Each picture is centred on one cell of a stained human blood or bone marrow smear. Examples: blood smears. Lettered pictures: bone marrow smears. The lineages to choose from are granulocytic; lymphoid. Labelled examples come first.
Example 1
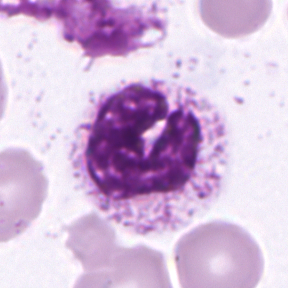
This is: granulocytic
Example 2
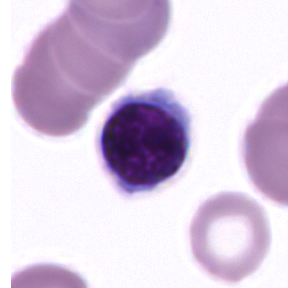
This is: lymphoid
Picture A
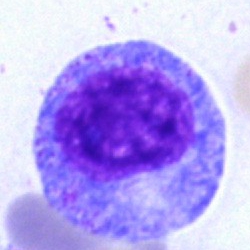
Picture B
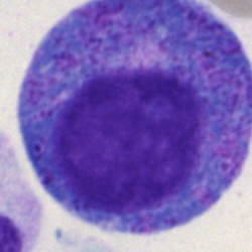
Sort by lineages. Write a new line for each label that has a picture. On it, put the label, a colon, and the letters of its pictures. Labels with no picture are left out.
granulocytic: A, B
